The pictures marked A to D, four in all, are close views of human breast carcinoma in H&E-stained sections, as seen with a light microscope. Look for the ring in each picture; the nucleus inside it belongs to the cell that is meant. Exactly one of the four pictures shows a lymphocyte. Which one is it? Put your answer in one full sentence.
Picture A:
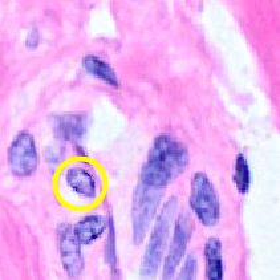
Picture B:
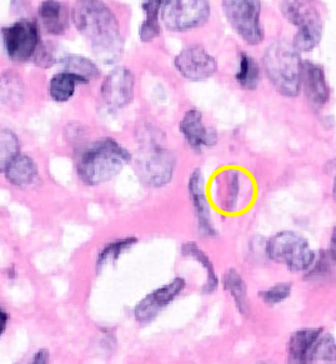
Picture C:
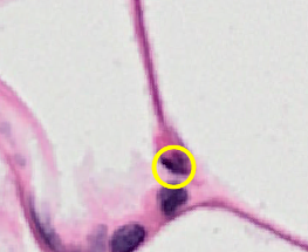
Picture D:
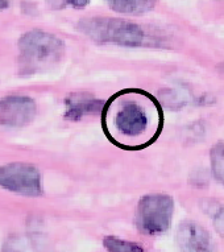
Picture D shows the lymphocyte.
